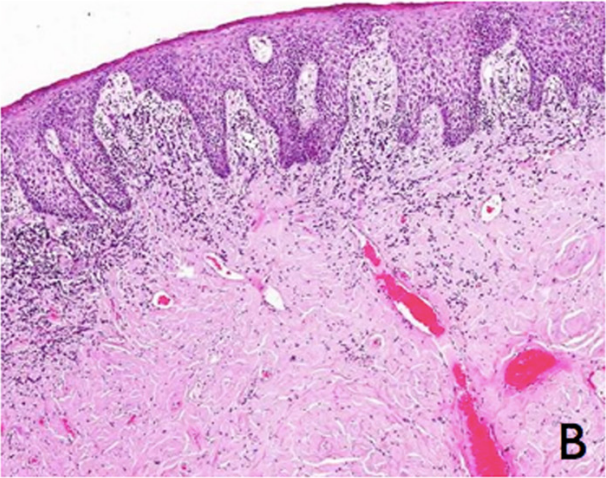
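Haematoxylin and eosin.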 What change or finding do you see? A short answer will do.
Irregular acanthosis.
